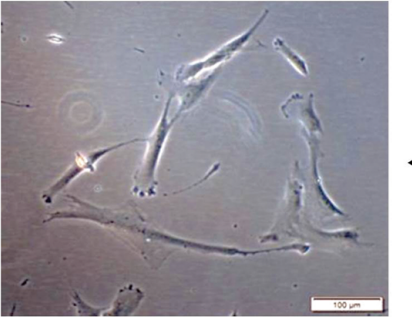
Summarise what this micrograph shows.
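The cells lie loosely scattered over the dish, some touching end to end, with much empty surface between them. Their outlines are bright against the grey background, and a few small dark granules sit near the cell bodies. None of the cells is broad or flattened.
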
